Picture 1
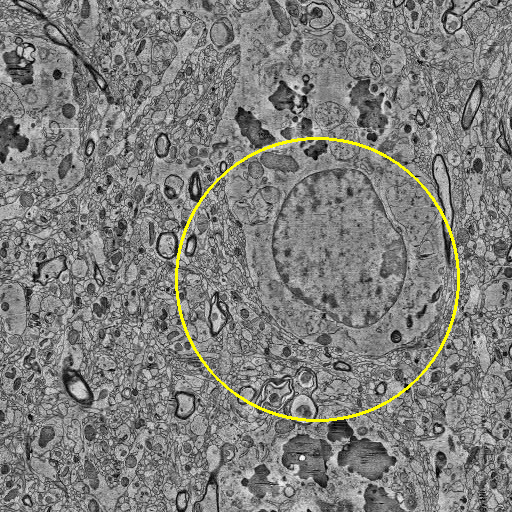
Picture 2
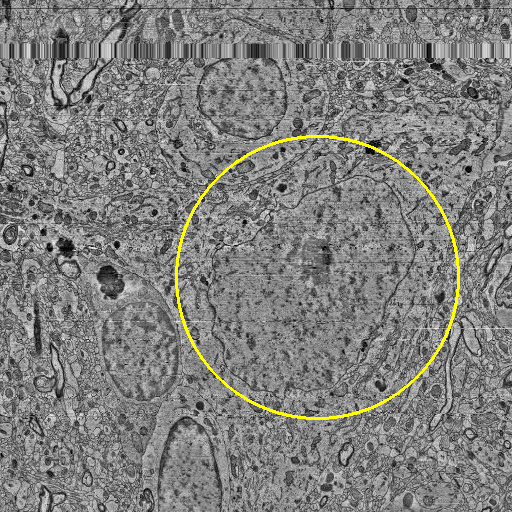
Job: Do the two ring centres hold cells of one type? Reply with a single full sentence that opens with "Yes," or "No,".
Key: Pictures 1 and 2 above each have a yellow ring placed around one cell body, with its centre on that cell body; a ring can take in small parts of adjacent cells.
No, the cells at the two ring centres are of two separate types.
